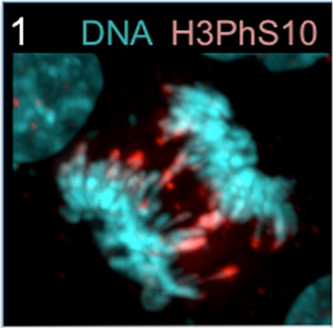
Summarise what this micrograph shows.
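Two broad masses of condensed rod-like chromosomes, in cyan, lie facing each other across a cleared gap, as in a cell in anaphase with the chromatids segregating to opposite poles. The red signal is not spread evenly: it sits as bright streaks and dots on the chromatin arms that trail into the middle of the cell, between the two masses, while the outer, pole-facing edges of the chromosome masses are mostly cyan alone. Faint red haze fills the midzone. Edges of neighbouring interphase nuclei appear at the corners.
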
